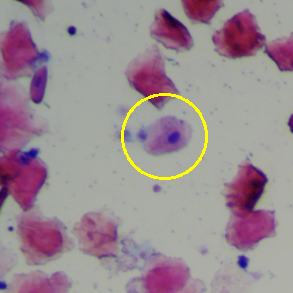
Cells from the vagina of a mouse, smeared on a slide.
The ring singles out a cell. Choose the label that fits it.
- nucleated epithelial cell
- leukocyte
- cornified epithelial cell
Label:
nucleated epithelial cell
